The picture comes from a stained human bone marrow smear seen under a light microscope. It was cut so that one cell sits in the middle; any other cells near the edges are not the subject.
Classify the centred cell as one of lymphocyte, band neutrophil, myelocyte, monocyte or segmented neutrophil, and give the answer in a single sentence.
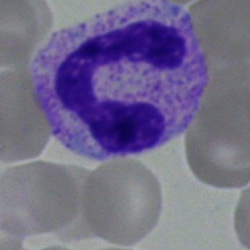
Occupying the centre of the crop is a band neutrophil.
